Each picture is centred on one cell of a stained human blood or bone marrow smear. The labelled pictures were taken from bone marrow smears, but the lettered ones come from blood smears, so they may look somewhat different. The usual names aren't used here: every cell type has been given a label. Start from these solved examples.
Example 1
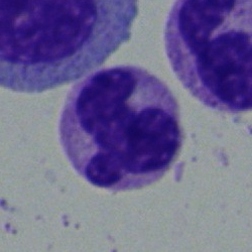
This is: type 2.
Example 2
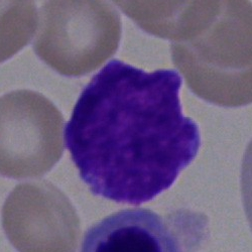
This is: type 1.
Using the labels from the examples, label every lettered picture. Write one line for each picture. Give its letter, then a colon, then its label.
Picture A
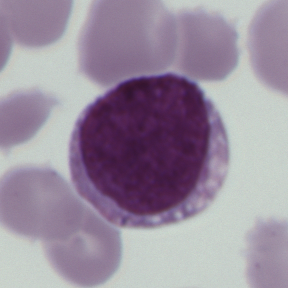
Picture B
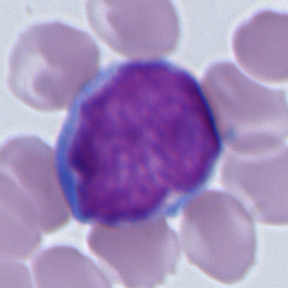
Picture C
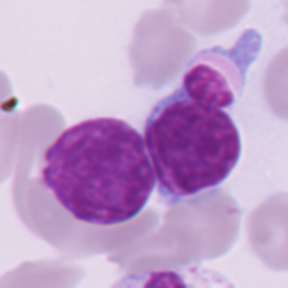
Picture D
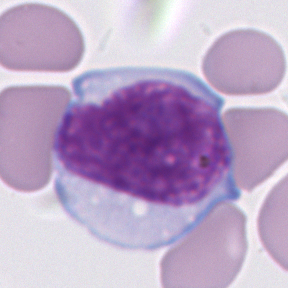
A: type 1.
B: type 1.
C: type 1.
D: type 1.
